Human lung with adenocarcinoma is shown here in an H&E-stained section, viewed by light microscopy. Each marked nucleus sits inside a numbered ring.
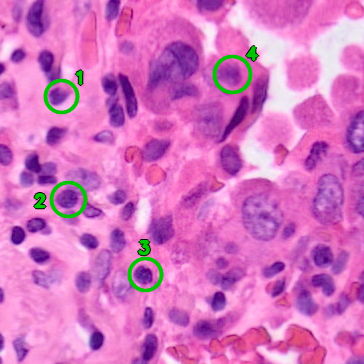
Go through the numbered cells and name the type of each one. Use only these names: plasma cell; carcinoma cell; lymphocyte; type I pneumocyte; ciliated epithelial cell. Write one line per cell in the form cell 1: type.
cell 1: lymphocyte
cell 2: lymphocyte
cell 3: lymphocyte
cell 4: carcinoma cell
